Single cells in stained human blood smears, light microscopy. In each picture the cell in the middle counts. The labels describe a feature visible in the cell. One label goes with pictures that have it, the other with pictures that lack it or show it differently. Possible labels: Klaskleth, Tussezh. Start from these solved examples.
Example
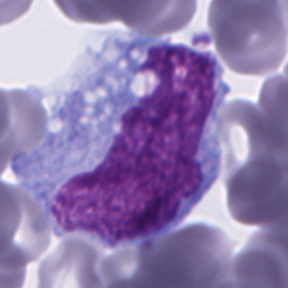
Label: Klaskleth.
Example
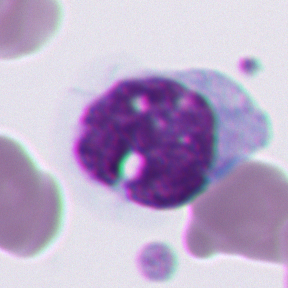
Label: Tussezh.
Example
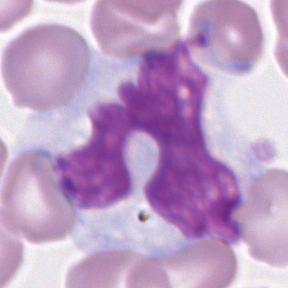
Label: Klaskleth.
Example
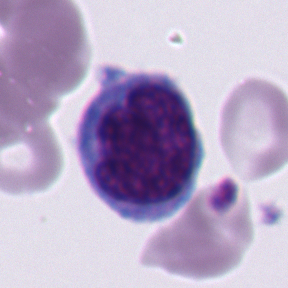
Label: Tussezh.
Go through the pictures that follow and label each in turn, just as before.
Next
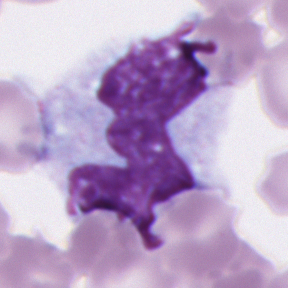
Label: Klaskleth.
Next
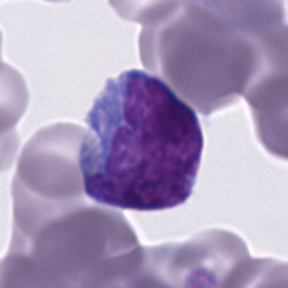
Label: Tussezh.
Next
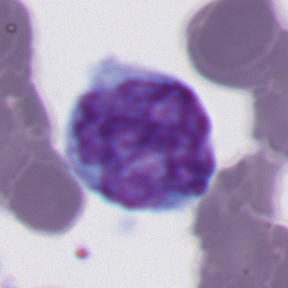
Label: Tussezh.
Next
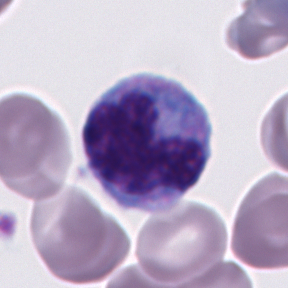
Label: Klaskleth.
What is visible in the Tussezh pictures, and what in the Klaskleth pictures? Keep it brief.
Tussezh: round or oval nucleus; Klaskleth: band-shaped nucleus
